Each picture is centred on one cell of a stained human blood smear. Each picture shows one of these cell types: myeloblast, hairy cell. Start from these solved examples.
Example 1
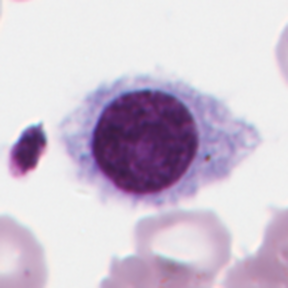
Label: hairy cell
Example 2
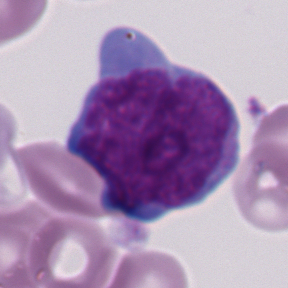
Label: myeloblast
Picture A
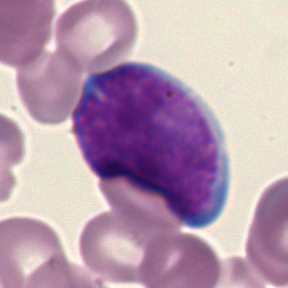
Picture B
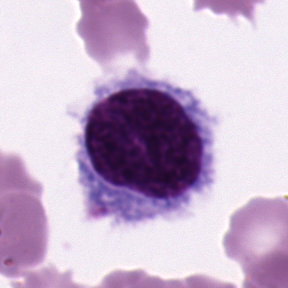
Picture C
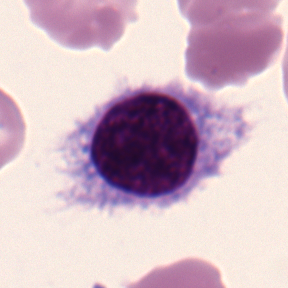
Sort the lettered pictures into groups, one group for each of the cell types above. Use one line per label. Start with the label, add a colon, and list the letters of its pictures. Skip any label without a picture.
myeloblast: A
hairy cell: B, C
